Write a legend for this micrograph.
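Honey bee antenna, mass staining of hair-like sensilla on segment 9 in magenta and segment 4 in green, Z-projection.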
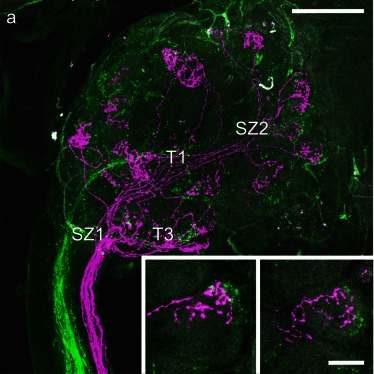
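The magenta axons end in many rounded glomeruli, which appear as dense knotted clusters, while green fibres run mostly along the edge. In the enlarged views the magenta terminals occupy part of each glomerulus in a layer.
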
